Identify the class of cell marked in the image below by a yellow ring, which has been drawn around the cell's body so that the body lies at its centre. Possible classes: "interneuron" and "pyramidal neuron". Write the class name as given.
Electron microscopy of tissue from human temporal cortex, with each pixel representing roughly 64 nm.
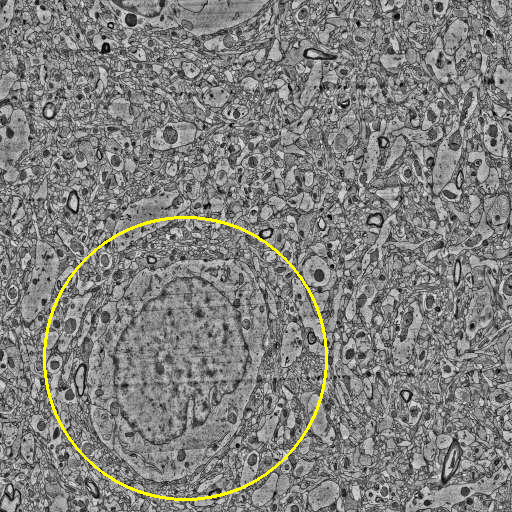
interneuron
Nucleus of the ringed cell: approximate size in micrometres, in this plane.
In this plane, approximately 11 by 8 micrometers.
